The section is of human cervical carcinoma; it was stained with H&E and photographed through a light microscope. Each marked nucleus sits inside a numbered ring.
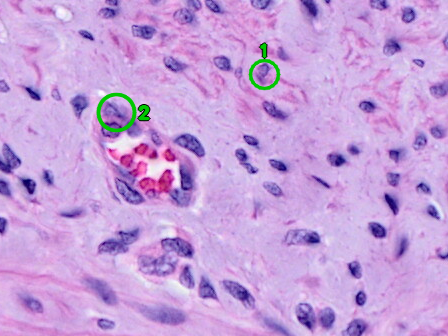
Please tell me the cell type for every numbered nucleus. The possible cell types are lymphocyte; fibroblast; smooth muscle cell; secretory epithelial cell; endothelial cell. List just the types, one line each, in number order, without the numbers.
smooth muscle cell
endothelial cell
